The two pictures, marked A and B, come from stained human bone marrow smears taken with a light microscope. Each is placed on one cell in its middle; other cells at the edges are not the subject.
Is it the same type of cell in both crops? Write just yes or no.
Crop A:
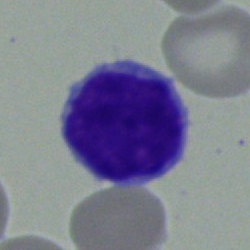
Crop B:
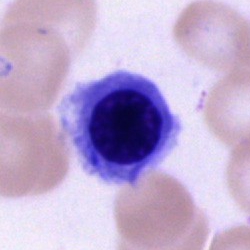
no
